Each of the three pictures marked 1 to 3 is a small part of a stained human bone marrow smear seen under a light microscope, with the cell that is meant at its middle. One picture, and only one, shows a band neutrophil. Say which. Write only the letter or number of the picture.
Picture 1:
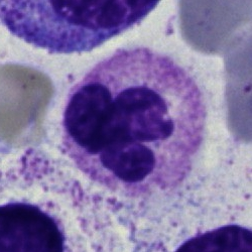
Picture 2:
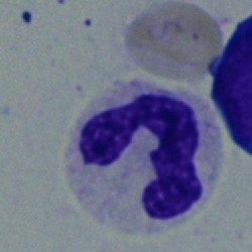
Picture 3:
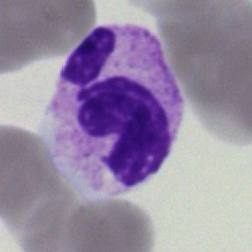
1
